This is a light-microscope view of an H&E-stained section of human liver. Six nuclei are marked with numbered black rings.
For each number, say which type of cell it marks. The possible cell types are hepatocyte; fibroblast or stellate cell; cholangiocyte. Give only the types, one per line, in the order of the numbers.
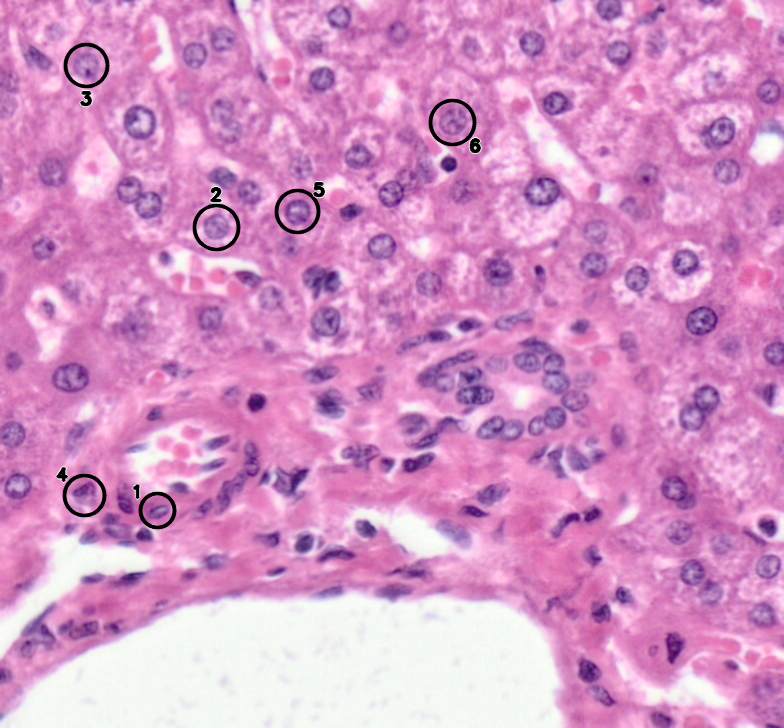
fibroblast or stellate cell
hepatocyte
hepatocyte
fibroblast or stellate cell
hepatocyte
hepatocyte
